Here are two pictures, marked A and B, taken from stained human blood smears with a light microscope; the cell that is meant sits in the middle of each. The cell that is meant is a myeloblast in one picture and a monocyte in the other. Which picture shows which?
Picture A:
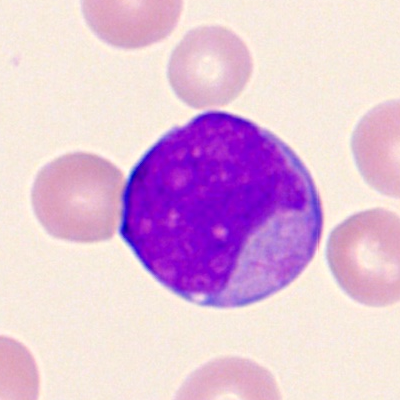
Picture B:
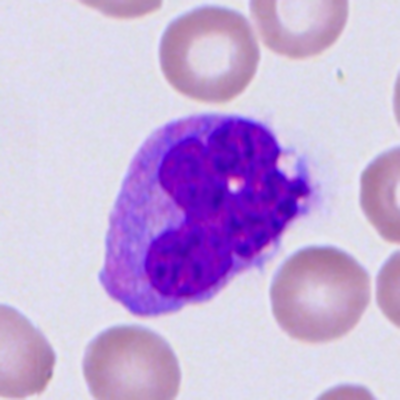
A: myeloblast
B: monocyte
